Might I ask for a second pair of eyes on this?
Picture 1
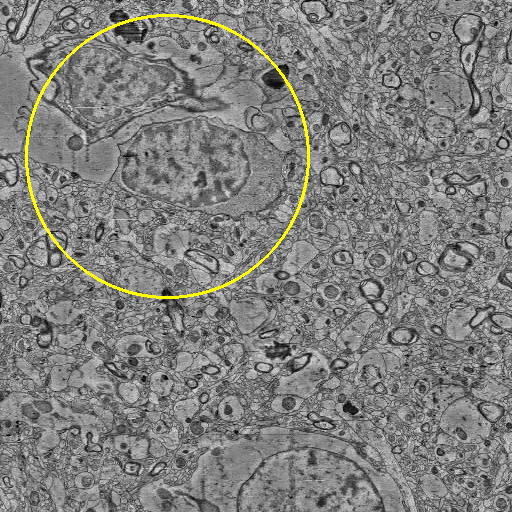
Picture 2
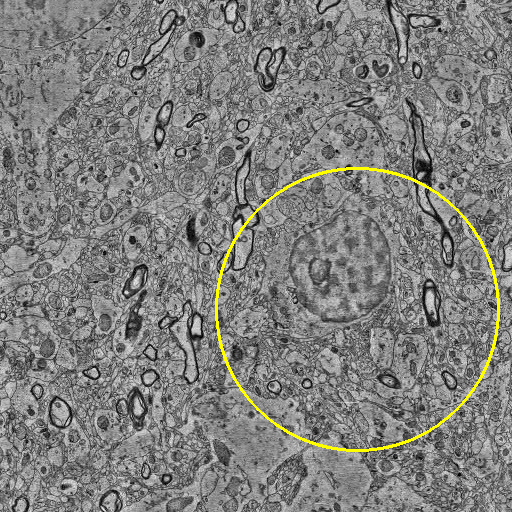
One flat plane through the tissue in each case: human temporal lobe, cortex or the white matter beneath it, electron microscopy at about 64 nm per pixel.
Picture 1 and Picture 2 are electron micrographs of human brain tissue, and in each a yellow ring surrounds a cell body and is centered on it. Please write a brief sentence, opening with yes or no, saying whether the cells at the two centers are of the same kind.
Yes, the cells are of the same kind.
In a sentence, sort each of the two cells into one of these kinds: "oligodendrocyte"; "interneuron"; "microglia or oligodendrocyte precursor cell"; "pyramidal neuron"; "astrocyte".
Both rings mark an oligodendrocyte, one in each picture.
